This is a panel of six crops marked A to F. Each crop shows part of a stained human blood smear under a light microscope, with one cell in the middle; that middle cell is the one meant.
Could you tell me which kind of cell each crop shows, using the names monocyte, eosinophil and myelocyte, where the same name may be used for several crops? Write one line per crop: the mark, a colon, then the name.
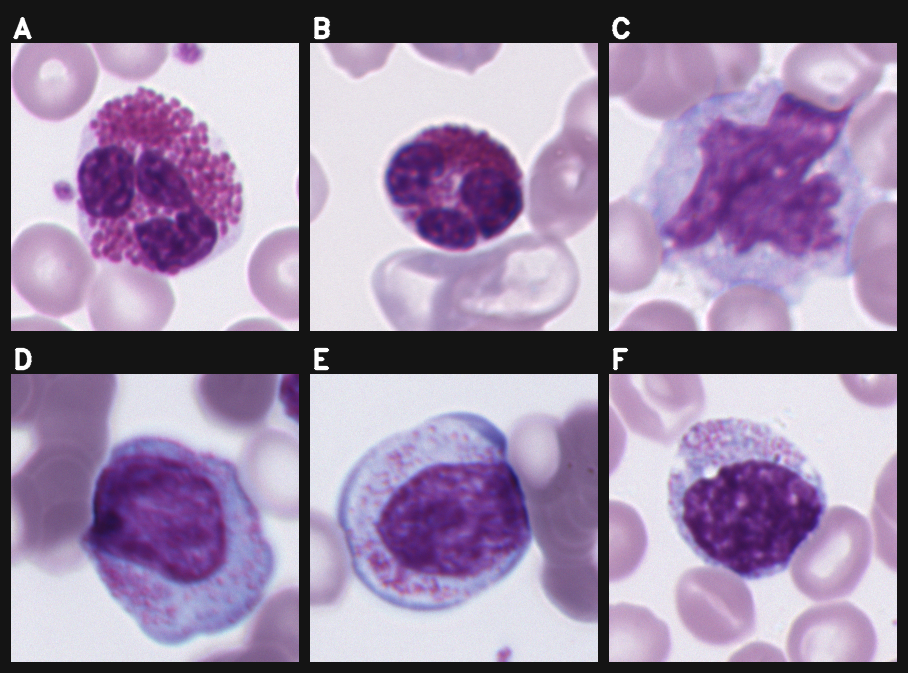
A: eosinophil
B: eosinophil
C: monocyte
D: myelocyte
E: myelocyte
F: myelocyte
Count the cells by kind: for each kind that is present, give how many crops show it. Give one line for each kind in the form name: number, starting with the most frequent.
myelocyte: 3
eosinophil: 2
monocyte: 1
